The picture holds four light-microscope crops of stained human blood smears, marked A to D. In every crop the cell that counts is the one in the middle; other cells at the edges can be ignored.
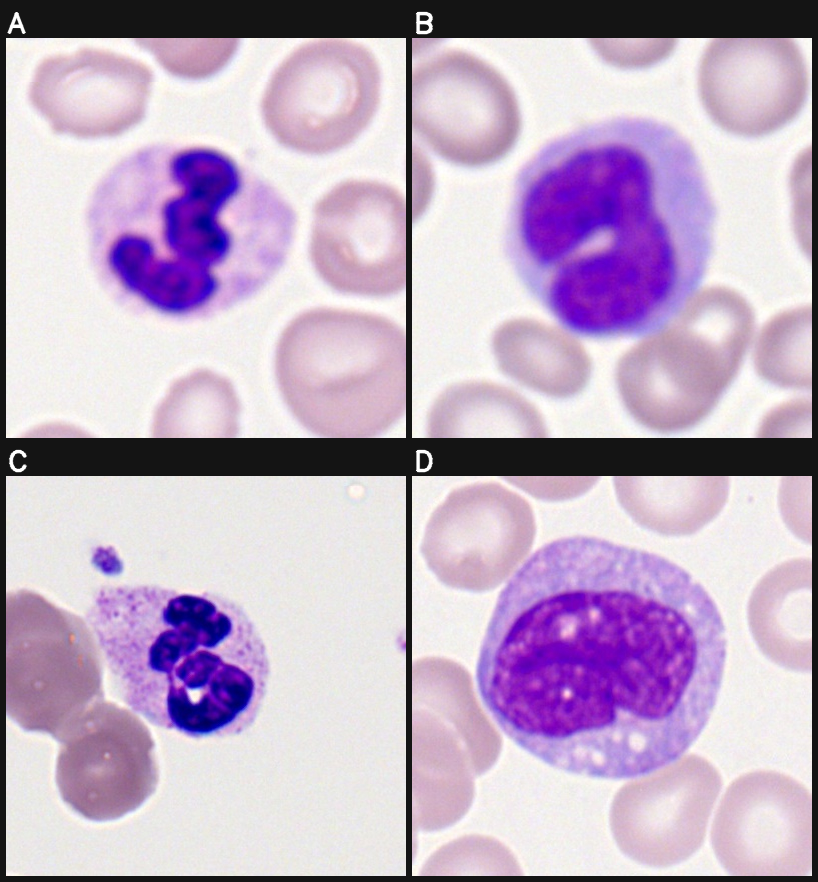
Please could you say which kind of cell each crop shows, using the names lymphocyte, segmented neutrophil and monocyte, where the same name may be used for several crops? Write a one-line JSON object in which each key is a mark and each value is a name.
{"A": "segmented neutrophil", "B": "monocyte", "C": "segmented neutrophil", "D": "monocyte"}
